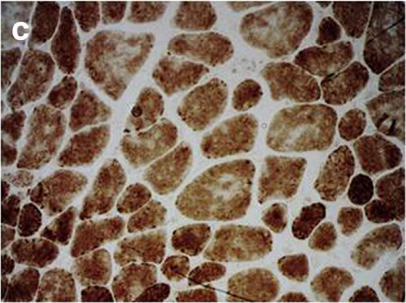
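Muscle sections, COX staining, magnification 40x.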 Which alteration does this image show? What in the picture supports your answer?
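Moth eaten fibres. The brown stain inside fibres is patchy and granular. Many fibres have irregular pale, unstained zones within them.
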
